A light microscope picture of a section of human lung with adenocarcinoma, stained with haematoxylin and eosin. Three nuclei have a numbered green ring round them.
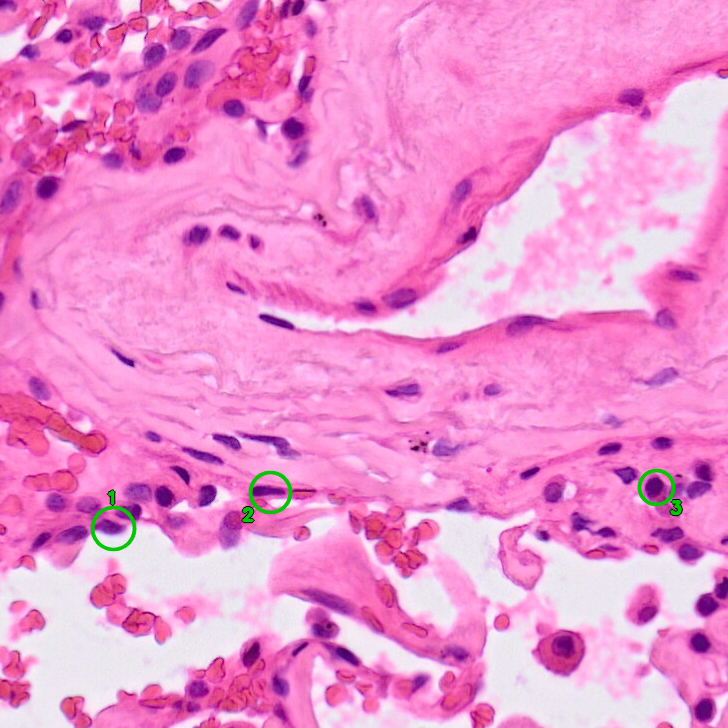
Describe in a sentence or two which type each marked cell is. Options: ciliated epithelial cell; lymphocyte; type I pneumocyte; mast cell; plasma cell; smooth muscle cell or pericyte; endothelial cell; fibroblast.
Cell 1 is a type I pneumocyte, cell 2 is an endothelial cell and cell 3 is a plasma cell.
